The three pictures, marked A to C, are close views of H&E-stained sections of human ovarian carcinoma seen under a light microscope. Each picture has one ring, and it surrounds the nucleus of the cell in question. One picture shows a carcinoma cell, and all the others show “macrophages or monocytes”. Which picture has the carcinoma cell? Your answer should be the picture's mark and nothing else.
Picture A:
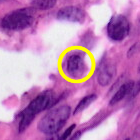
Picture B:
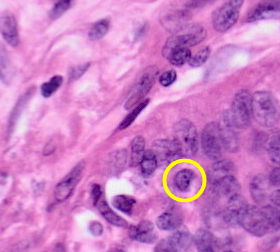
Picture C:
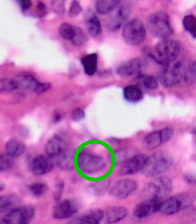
C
